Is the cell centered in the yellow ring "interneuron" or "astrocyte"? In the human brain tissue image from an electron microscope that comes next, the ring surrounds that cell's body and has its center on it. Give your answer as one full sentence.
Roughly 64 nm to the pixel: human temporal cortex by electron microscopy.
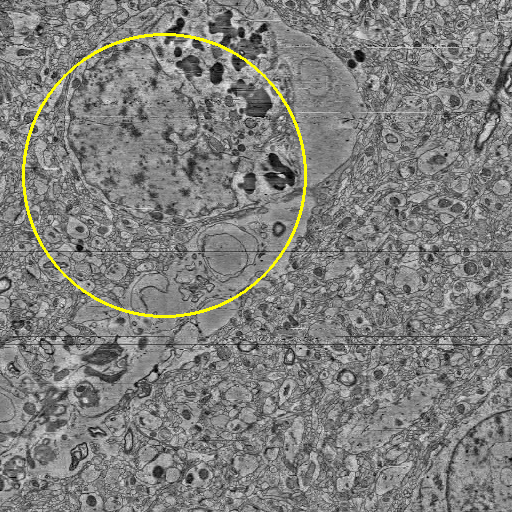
The cell at the center of the yellow ring is an interneuron in the micrograph.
